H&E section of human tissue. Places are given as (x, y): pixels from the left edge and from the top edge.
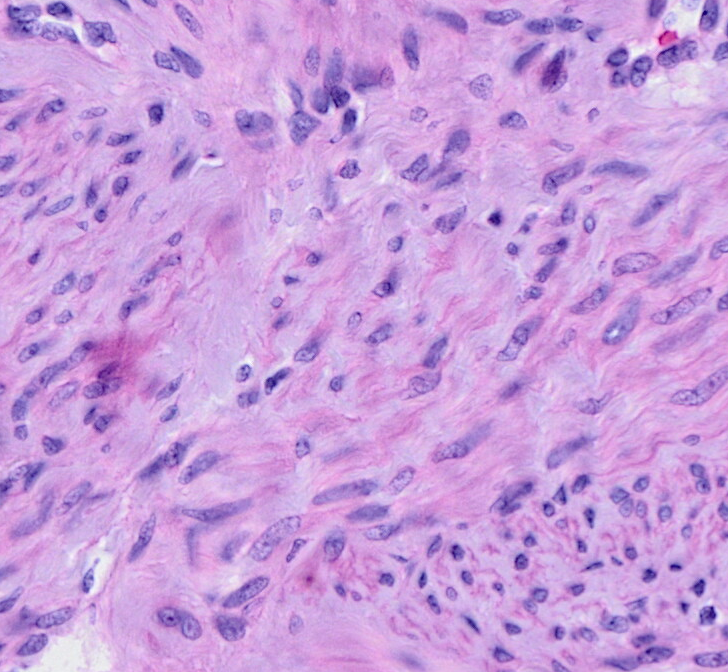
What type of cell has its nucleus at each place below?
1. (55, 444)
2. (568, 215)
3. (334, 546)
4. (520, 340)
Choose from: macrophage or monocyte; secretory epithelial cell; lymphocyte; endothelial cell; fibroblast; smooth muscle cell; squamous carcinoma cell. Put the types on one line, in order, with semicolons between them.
fibroblast; smooth muscle cell; smooth muscle cell; smooth muscle cell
